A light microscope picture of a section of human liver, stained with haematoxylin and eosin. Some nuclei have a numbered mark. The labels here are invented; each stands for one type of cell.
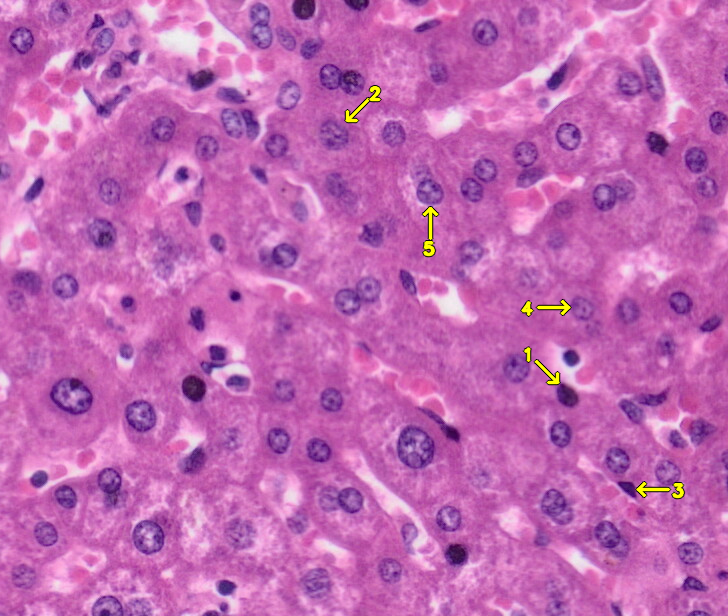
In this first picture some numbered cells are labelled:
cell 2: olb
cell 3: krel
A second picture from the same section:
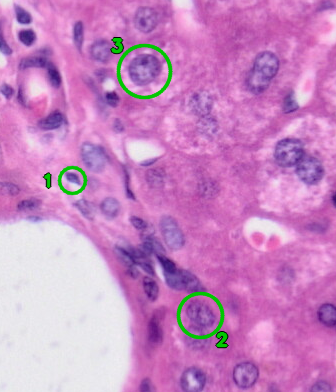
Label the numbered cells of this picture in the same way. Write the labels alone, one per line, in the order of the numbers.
krel
olb
olb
